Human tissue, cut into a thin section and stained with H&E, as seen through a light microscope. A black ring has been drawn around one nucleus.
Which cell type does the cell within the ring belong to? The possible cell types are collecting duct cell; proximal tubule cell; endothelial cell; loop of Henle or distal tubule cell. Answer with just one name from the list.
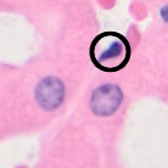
endothelial cell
